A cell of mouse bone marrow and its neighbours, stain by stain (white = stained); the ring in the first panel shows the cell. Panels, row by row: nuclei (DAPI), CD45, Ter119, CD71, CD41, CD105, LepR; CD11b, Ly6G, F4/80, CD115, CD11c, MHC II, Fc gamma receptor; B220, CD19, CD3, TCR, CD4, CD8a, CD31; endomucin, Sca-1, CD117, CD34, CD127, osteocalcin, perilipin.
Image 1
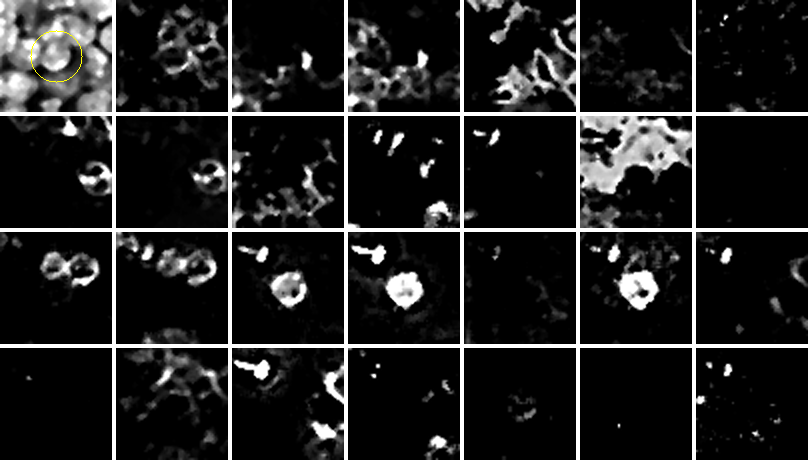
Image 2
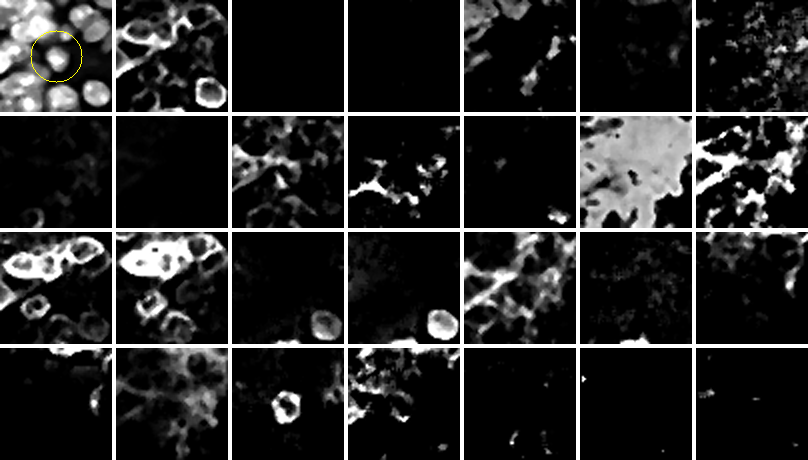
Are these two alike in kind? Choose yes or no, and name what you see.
No. First a CD8 T cell, second a megakaryocyte-erythroid progenitor.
